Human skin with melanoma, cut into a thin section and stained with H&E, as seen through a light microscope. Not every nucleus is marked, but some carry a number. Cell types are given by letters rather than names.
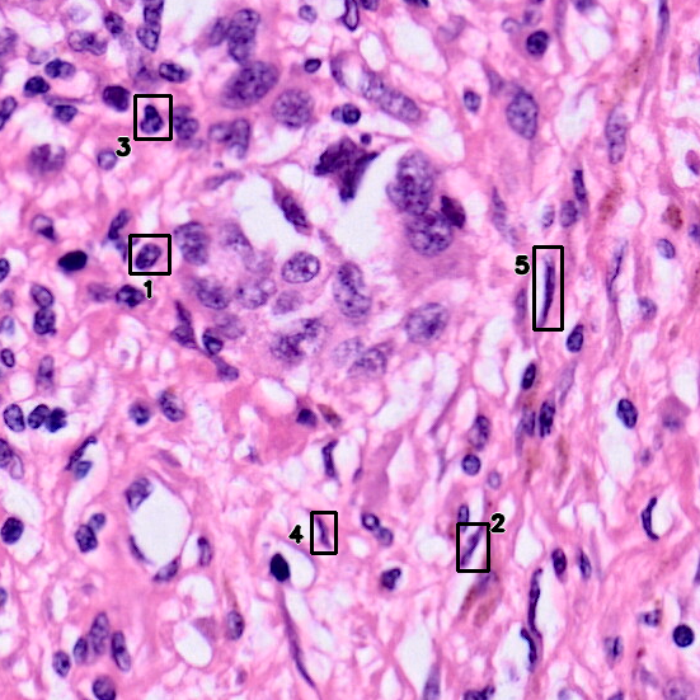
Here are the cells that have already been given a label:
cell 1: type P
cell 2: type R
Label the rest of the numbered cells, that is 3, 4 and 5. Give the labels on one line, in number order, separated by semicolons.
type P; type R; type R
